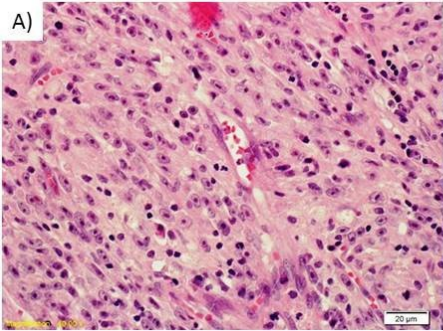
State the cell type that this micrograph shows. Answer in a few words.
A: Plump spindle cells.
